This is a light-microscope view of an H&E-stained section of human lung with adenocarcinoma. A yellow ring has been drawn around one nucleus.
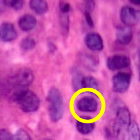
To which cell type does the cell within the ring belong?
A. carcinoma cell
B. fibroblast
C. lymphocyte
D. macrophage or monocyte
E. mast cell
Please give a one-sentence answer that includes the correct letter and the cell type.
On this slide, the cell within the ring is a lymphocyte, so option C is right.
